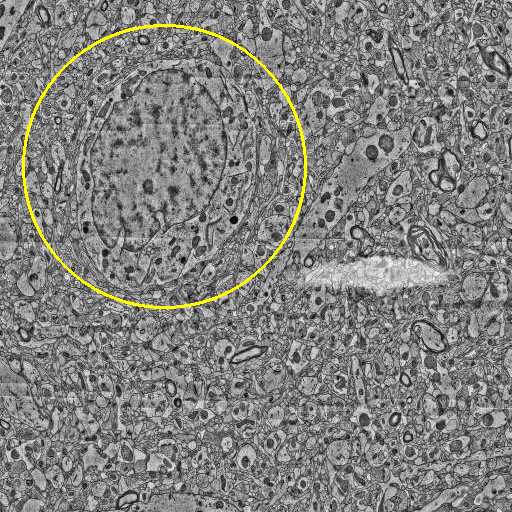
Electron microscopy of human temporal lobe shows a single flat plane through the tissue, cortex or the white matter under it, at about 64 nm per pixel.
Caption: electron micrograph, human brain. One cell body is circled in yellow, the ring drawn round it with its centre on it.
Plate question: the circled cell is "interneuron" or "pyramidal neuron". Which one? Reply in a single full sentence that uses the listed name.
The yellow ring on the plate is centred on an interneuron, going by the listed names.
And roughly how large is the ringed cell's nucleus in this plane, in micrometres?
Roughly 12 by 9 micrometres is the size of the nucleus in this plane.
